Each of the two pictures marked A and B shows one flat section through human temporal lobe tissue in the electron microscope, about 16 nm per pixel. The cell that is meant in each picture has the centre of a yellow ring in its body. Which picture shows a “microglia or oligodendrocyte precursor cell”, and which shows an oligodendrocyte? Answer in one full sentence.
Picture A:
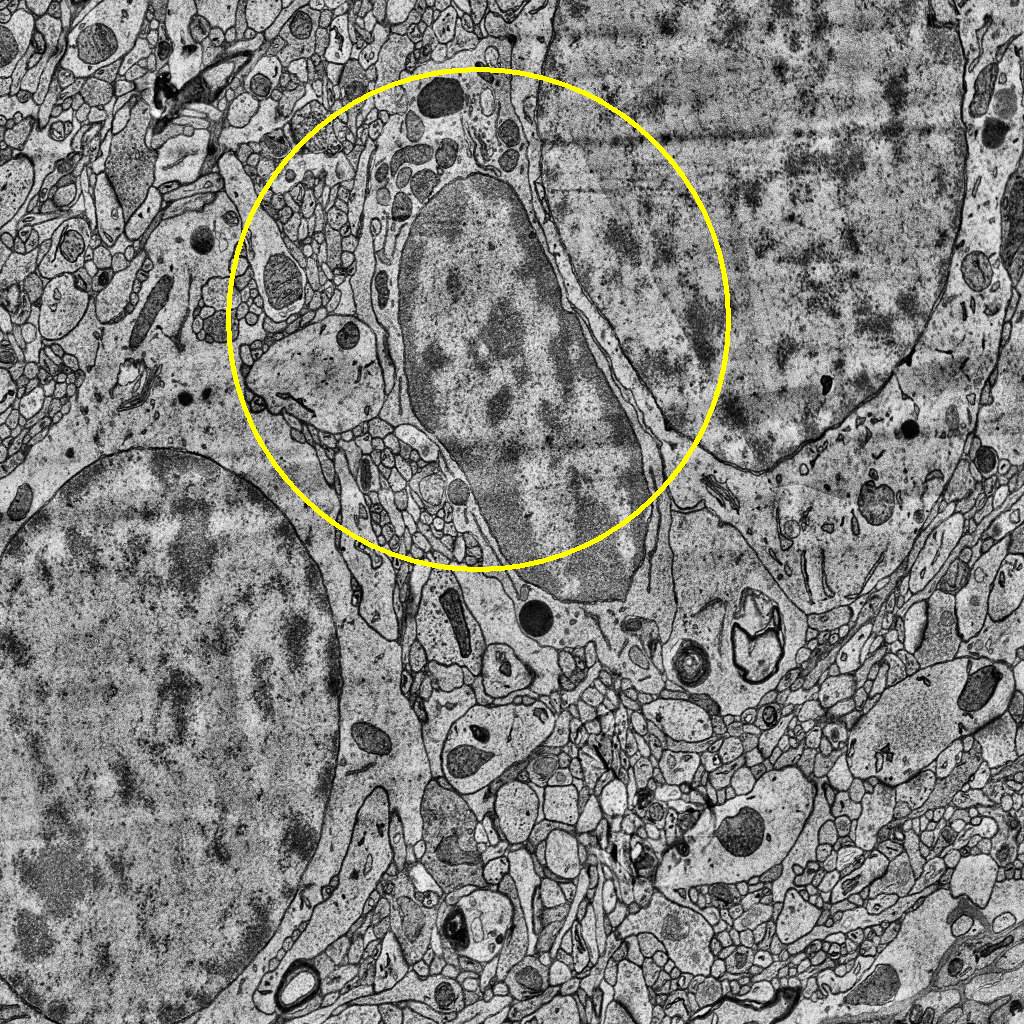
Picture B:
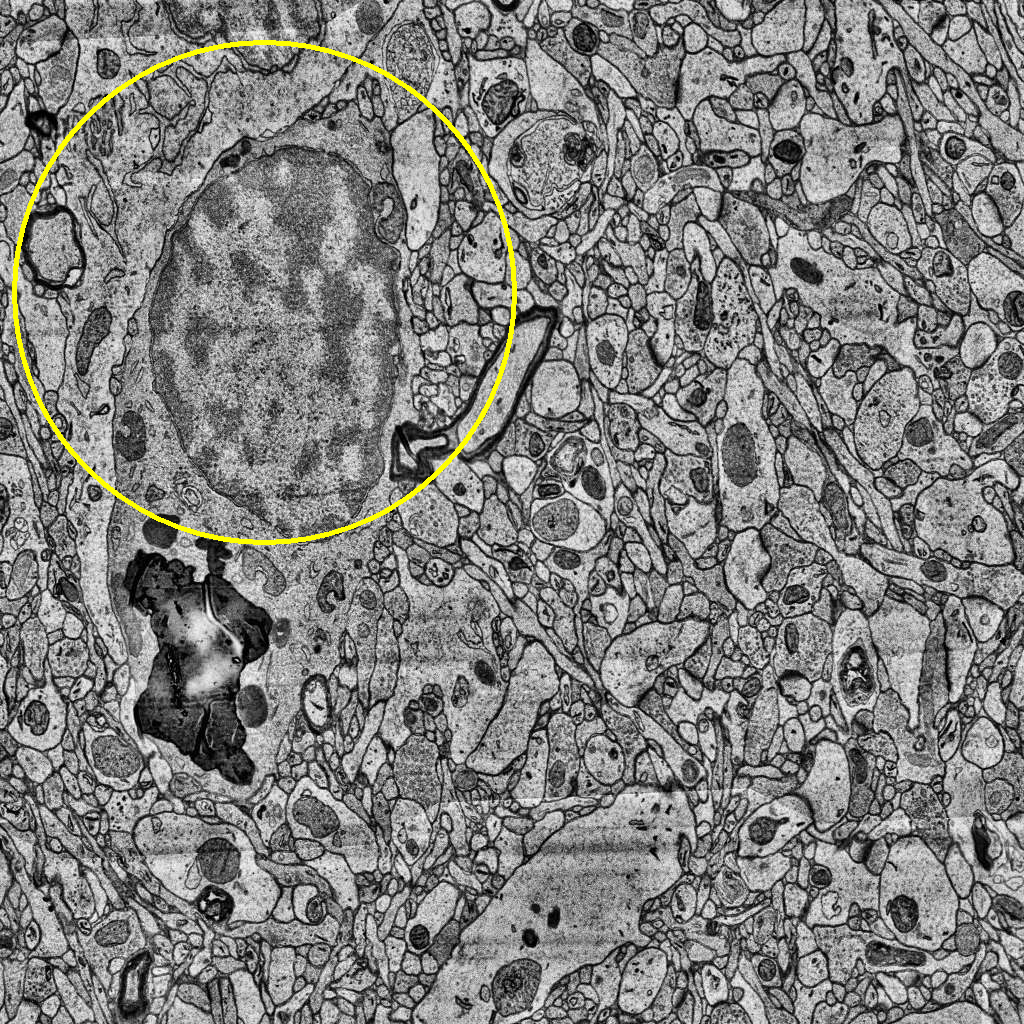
Picture B shows an oligodendrocyte, while picture A shows a “microglia or oligodendrocyte precursor cell”.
